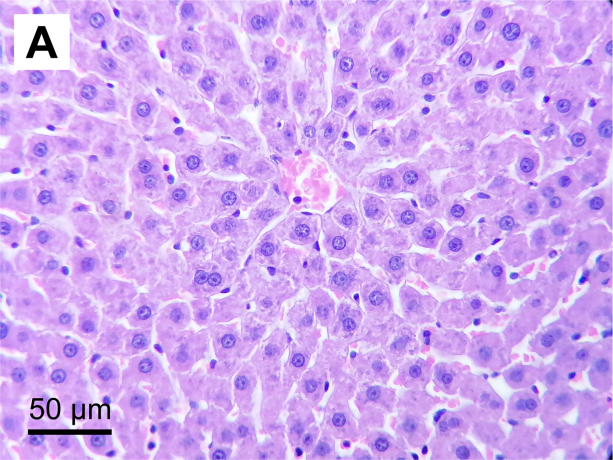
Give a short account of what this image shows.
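Liver parenchyma with hepatocytes in cords radiating from a small central vessel holding red blood cells. Cords are separated by narrow, clear sinusoids. Hepatocytes are polygonal, with abundant pink, finely granular cytoplasm and central, round, purple nuclei with visible nucleoli; a few cells carry two nuclei. Small, dark, flattened nuclei lie along the sinusoids. Scattered red blood cells sit in the sinusoids.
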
